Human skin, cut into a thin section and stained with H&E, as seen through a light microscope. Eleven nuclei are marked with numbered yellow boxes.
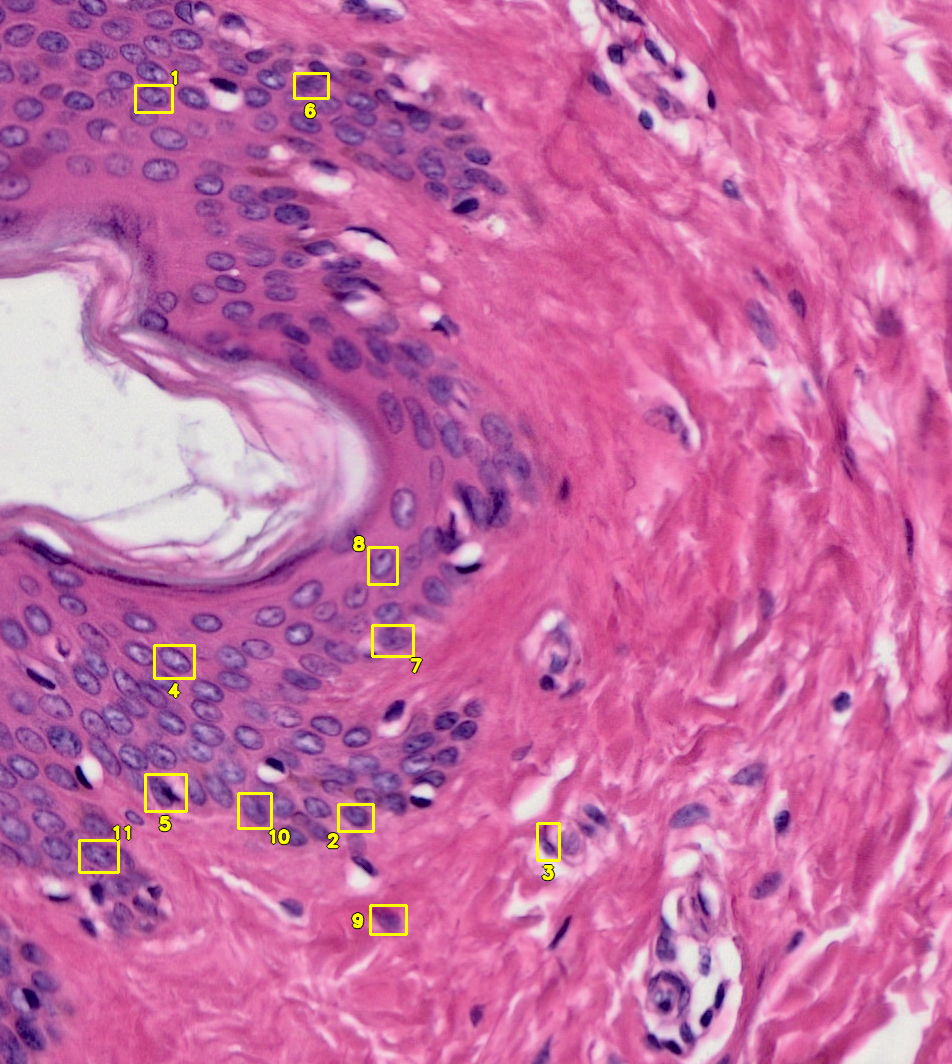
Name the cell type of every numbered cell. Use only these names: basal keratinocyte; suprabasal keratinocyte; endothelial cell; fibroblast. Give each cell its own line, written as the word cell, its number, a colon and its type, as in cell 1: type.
cell 1: suprabasal keratinocyte
cell 2: basal keratinocyte
cell 3: fibroblast
cell 4: suprabasal keratinocyte
cell 5: basal keratinocyte
cell 6: basal keratinocyte
cell 7: basal keratinocyte
cell 8: suprabasal keratinocyte
cell 9: fibroblast
cell 10: basal keratinocyte
cell 11: basal keratinocyte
